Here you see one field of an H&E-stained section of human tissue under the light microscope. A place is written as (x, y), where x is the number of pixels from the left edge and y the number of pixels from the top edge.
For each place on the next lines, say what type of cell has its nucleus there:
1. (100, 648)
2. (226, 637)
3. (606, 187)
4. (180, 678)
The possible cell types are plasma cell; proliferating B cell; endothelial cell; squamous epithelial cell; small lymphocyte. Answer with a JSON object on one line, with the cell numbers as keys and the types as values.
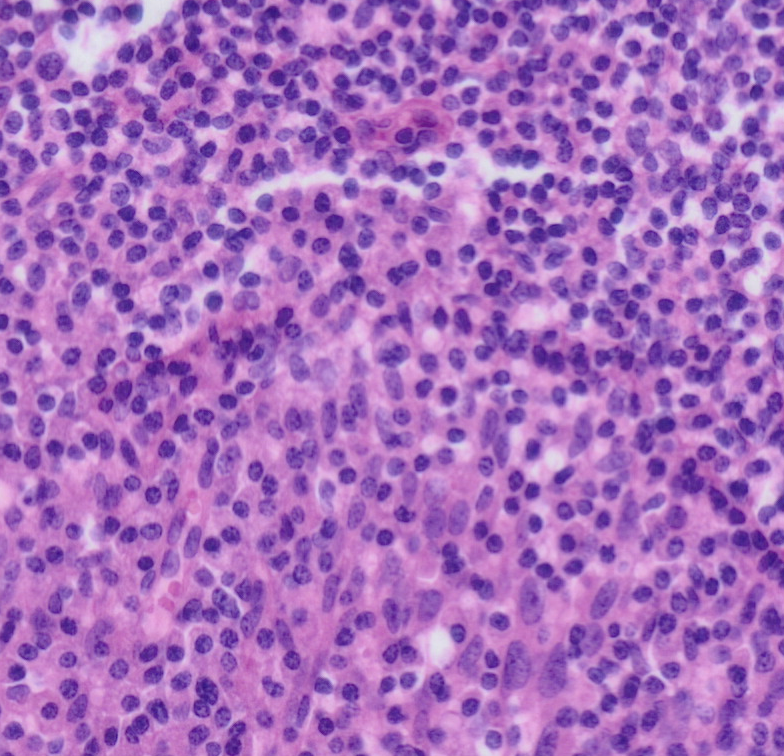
{"1": "plasma cell", "2": "plasma cell", "3": "small lymphocyte", "4": "plasma cell"}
